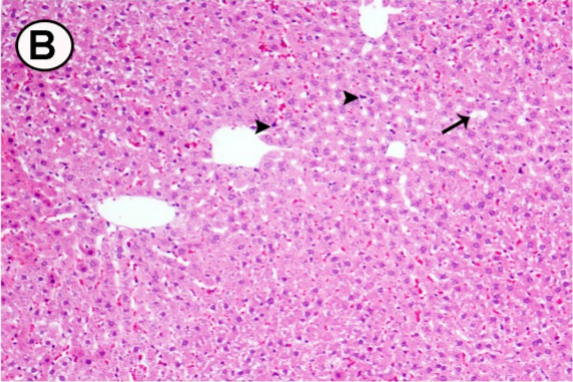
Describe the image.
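This is liver tissue in which hepatocytes show fat deposition, dilated sinusoids and shrunken dark nuclei. Much of the cytoplasm is pale and finely vacuolated rather than evenly pink. Small clear round spaces lie within the cell plates. Sinusoids between the cords appear widened, some containing red blood cells. Several dilated vessels are seen, and the radial arrangement of the plates is less regular than in normal liver.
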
